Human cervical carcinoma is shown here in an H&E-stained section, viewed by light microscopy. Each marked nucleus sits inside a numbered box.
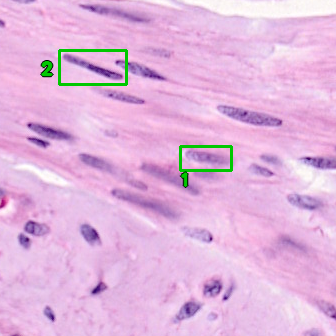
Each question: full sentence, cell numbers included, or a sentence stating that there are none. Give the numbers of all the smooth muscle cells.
Nothing but cell 1 is a smooth muscle cell among the numbered ones.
